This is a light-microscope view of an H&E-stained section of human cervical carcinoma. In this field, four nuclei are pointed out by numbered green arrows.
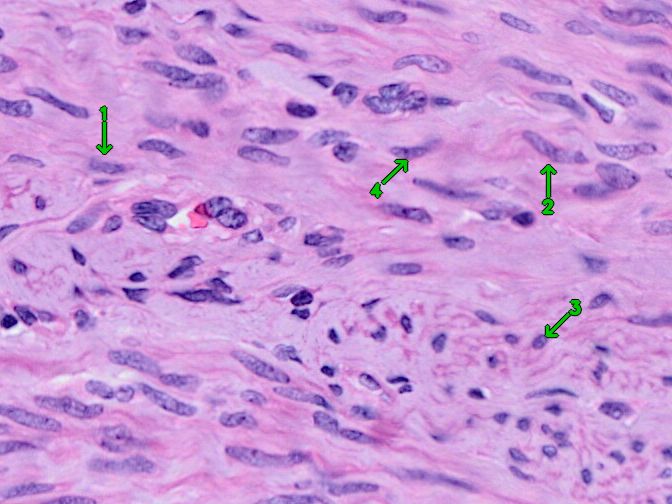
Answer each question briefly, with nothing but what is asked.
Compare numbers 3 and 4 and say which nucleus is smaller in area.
3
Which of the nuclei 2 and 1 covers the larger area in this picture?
2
